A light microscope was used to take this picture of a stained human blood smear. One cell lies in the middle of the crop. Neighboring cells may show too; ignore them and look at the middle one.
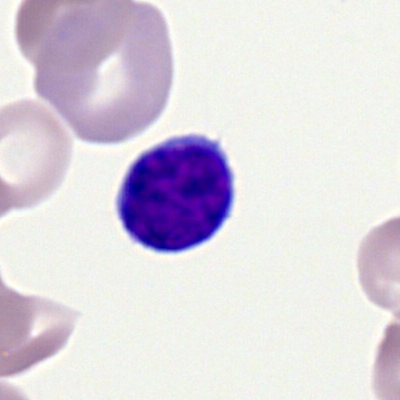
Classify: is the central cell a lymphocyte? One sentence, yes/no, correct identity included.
Yes, the cell at the center of the crop is a lymphocyte.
